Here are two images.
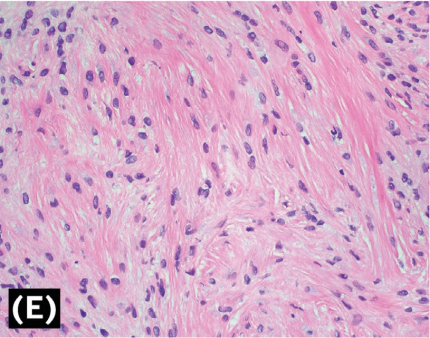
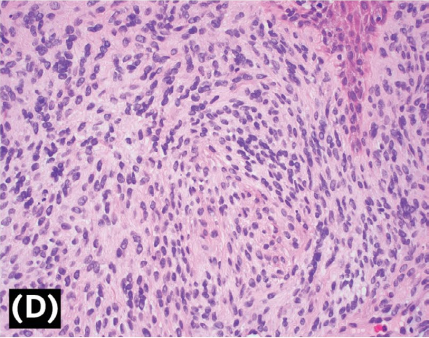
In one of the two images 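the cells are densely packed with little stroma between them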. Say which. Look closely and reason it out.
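The second image. First image: spindle nuclei are spaced apart by thick pink collagen bundles. Second image: oval to spindle nuclei crowd closely in whorls and fascicles with little pink matrix.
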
